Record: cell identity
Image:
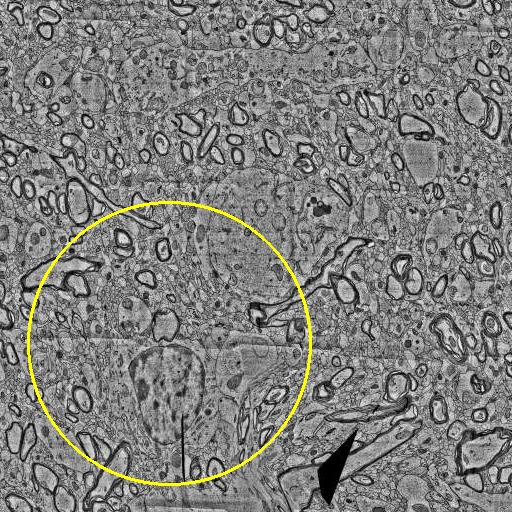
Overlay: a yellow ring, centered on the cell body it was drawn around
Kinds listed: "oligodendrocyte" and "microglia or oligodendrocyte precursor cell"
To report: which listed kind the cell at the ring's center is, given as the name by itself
microglia or oligodendrocyte precursor cell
